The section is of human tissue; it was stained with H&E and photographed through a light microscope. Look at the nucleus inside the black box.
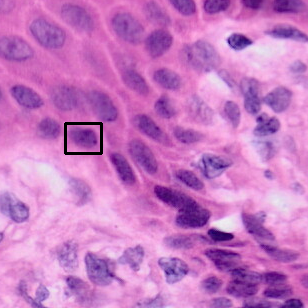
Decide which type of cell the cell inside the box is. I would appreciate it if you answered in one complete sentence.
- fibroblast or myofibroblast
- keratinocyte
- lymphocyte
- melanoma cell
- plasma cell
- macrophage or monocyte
It is as a keratinocyte that the cell inside the box is classified.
